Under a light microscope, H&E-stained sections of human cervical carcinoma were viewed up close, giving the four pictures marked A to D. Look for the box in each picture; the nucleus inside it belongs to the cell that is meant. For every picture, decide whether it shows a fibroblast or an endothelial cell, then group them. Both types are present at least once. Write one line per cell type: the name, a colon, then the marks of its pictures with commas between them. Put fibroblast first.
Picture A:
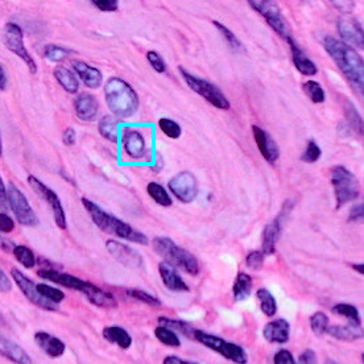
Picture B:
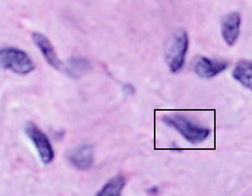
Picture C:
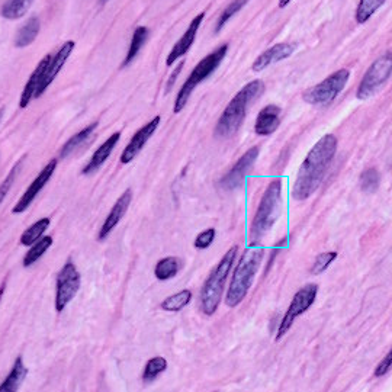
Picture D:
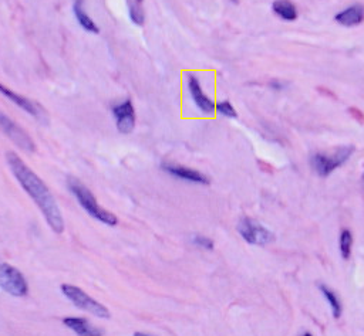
fibroblast: B, D
endothelial cell: A, C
